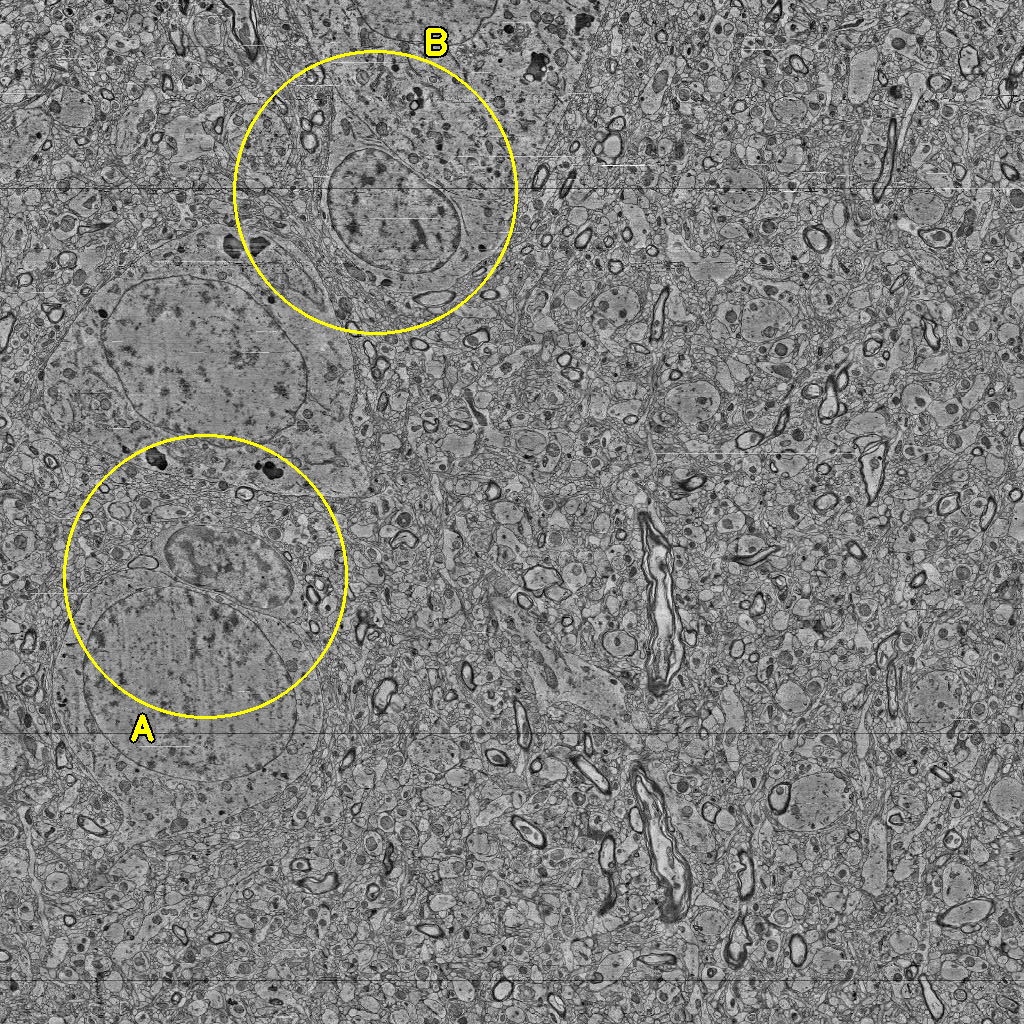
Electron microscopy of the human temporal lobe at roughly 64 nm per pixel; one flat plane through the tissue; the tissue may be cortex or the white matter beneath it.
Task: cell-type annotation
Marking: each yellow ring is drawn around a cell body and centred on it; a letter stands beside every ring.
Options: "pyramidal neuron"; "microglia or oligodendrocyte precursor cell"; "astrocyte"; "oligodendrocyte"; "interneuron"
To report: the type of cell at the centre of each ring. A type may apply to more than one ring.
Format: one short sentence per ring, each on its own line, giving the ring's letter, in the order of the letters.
Ring A is centred on an oligodendrocyte.
Ring B is centred on a microglial cell or oligodendrocyte precursor cell.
